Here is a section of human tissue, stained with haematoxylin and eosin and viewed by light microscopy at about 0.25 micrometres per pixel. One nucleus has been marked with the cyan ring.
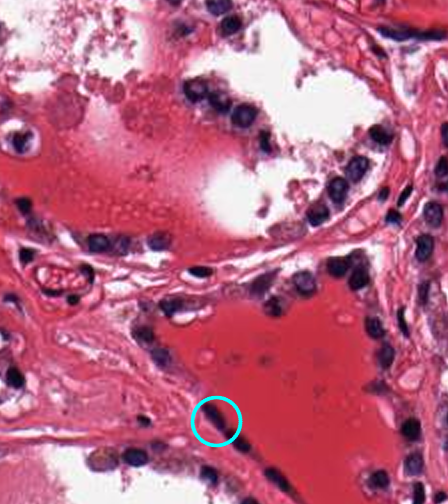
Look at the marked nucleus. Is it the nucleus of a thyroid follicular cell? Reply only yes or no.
yes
